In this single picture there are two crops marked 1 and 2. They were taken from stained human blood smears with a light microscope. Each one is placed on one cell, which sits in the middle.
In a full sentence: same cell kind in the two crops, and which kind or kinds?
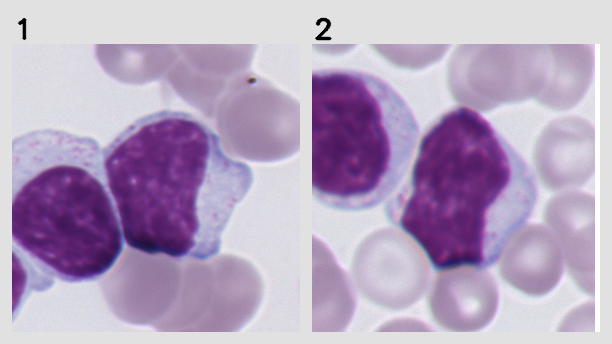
Yes, that holds, both crops show large granular lymphocytes.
